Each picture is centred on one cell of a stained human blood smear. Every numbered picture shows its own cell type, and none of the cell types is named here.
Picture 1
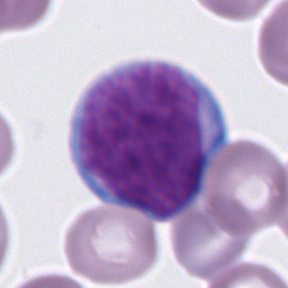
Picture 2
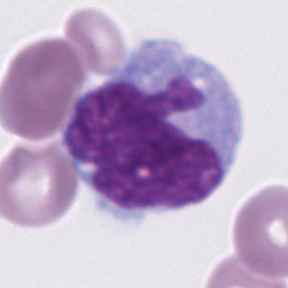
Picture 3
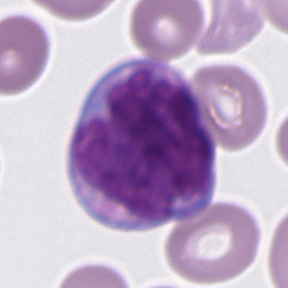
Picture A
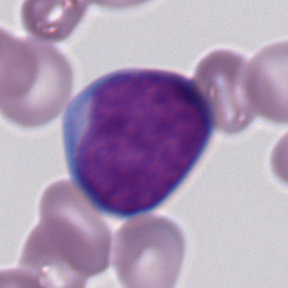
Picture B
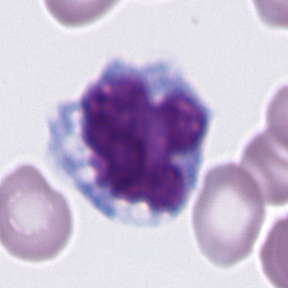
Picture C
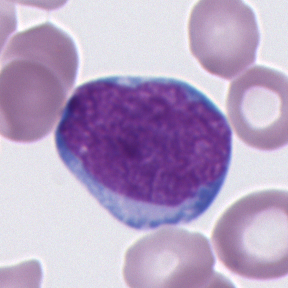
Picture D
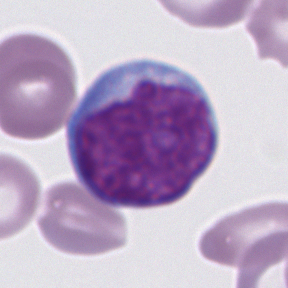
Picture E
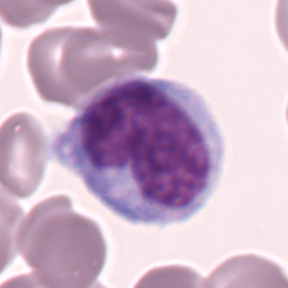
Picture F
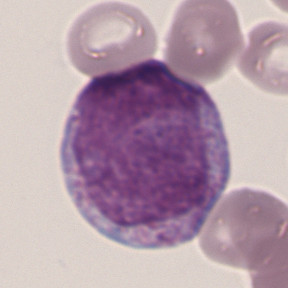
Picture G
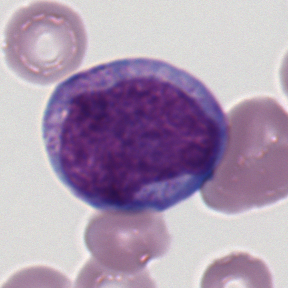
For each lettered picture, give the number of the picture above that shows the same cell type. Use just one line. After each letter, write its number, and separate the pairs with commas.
A 1, B 2, C 1, D 1, E 2, F 3, G 3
